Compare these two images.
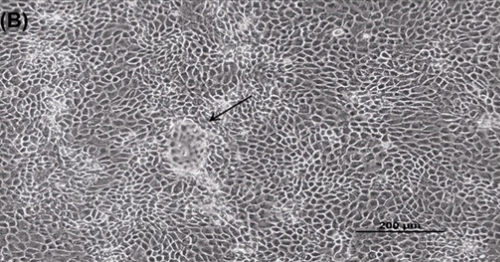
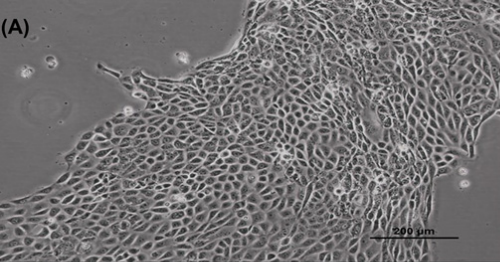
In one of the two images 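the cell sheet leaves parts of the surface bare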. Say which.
The second image.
